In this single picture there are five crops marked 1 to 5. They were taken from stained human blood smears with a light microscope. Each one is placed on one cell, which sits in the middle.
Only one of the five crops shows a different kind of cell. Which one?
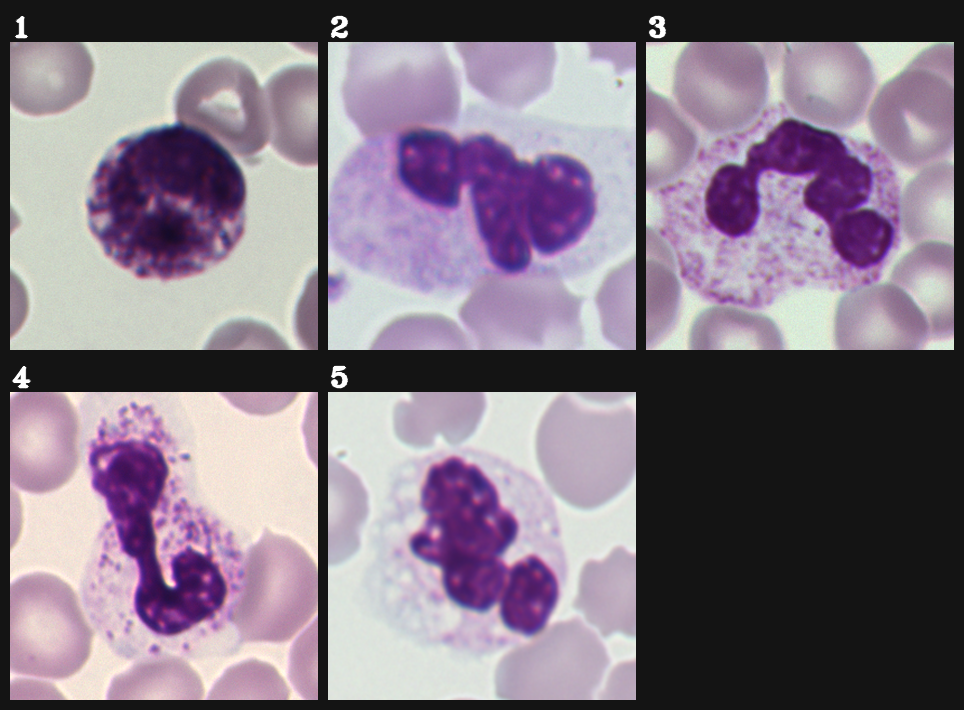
1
